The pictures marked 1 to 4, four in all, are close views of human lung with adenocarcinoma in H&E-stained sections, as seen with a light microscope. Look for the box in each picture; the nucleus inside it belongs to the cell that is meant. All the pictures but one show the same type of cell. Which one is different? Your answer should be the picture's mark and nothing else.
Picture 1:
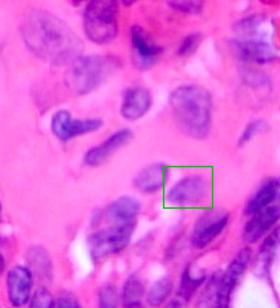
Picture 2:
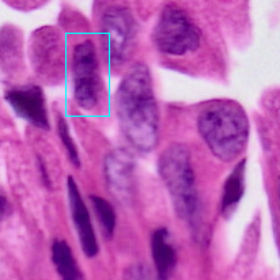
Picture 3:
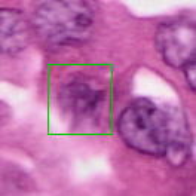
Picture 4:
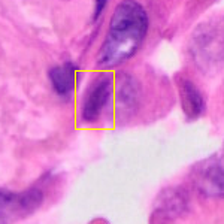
1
